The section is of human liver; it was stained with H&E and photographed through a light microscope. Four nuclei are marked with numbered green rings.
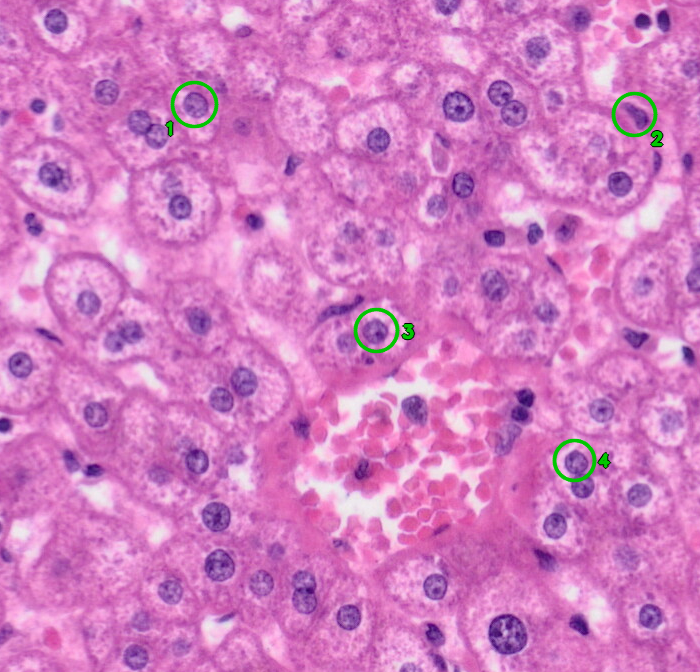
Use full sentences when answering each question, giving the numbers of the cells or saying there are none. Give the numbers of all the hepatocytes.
Cells 1, 3 and 4 in the section are typed as hepatocytes.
